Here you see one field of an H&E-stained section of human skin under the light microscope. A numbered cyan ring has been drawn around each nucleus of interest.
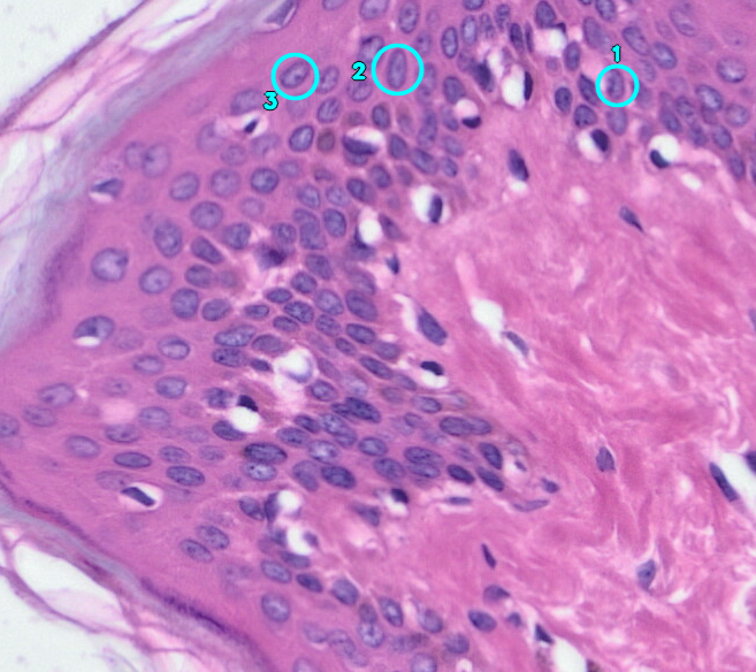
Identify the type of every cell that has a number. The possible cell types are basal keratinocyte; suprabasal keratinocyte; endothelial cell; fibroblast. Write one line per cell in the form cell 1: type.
cell 1: basal keratinocyte
cell 2: suprabasal keratinocyte
cell 3: suprabasal keratinocyte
